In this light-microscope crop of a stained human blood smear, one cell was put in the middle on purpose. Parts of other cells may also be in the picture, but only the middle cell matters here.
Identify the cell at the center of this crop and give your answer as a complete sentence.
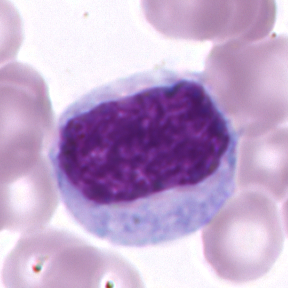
The cell at the central position in this crop is a promyelocyte.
